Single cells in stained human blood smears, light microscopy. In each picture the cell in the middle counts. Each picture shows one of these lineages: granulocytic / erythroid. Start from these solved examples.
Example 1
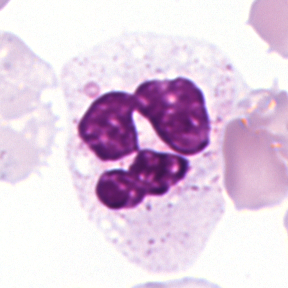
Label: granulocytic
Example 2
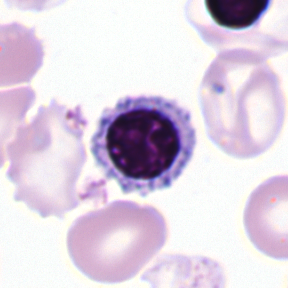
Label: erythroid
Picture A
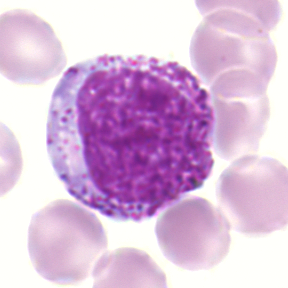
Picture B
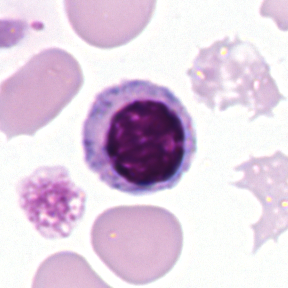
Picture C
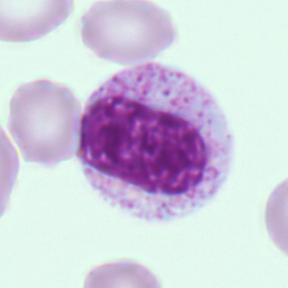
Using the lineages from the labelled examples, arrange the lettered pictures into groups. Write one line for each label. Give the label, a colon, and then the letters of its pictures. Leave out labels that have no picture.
granulocytic: A, C
erythroid: B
